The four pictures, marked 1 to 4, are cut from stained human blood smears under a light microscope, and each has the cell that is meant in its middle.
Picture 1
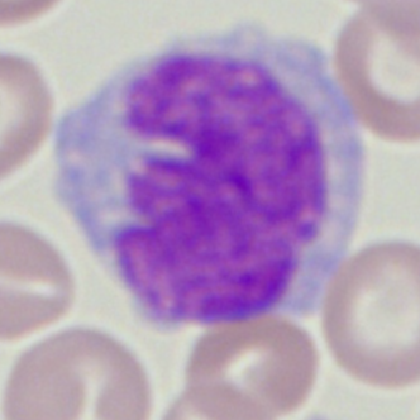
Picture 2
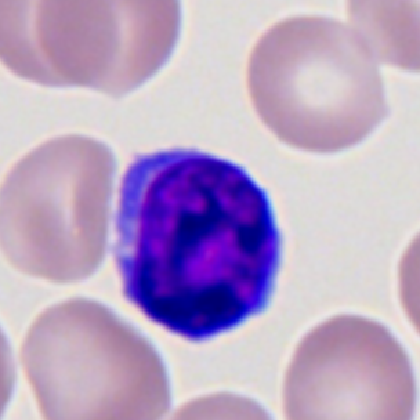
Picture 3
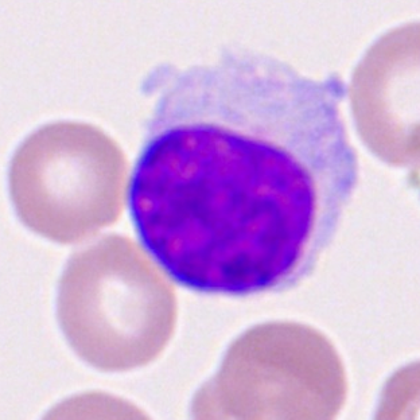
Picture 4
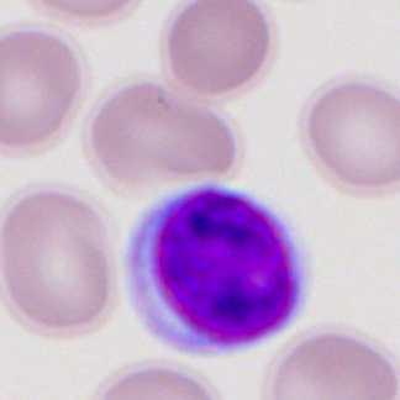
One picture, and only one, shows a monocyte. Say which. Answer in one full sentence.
The cell in picture 1 is the monocyte.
